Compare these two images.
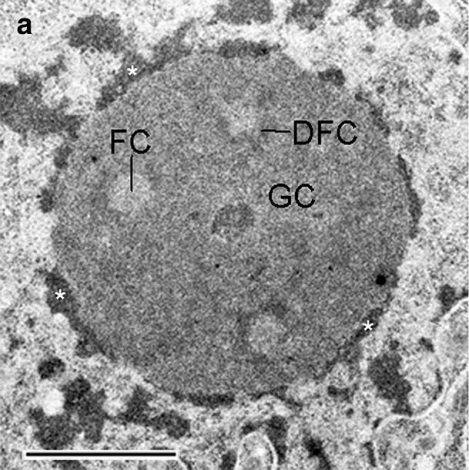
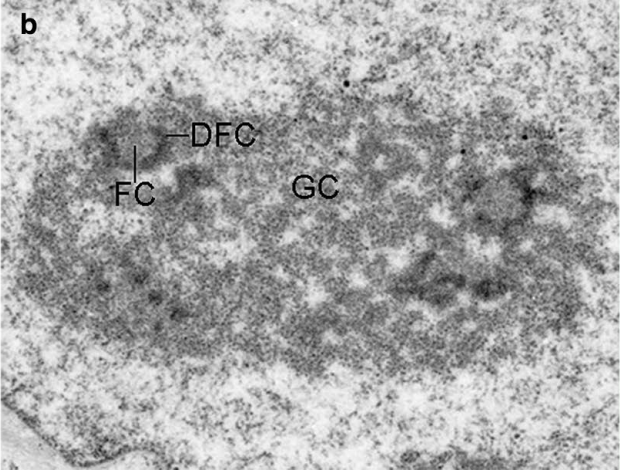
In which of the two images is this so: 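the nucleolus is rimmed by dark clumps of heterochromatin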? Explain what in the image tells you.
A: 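The first image. Second image: the dense body has no continuous dark rim along its border. First image: dark, dense clumps sit along much of the round body's border.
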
